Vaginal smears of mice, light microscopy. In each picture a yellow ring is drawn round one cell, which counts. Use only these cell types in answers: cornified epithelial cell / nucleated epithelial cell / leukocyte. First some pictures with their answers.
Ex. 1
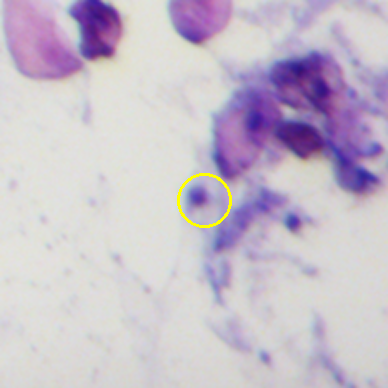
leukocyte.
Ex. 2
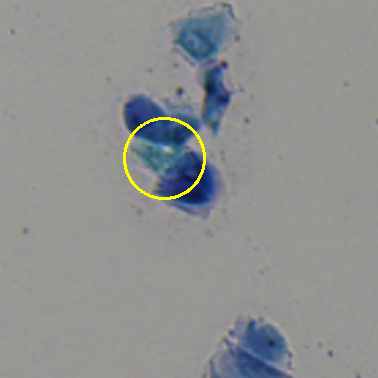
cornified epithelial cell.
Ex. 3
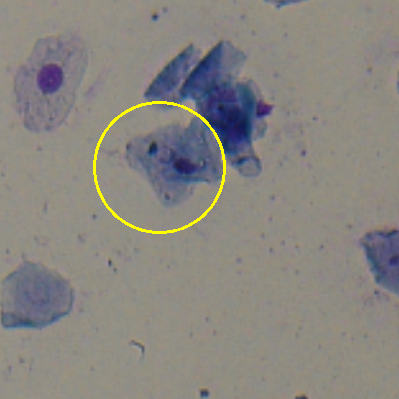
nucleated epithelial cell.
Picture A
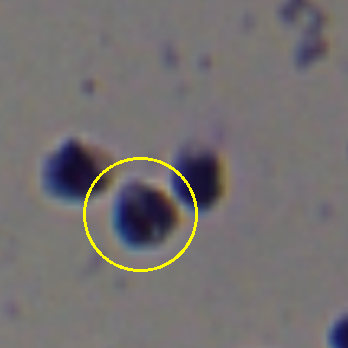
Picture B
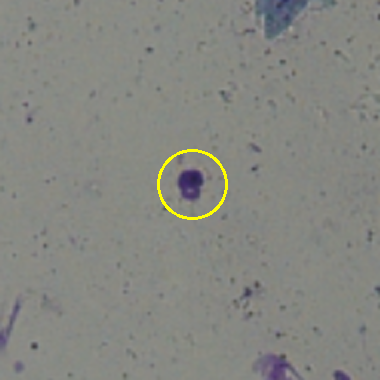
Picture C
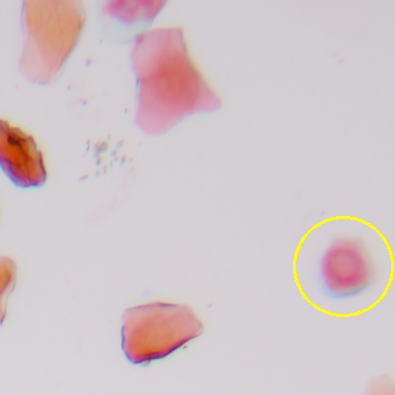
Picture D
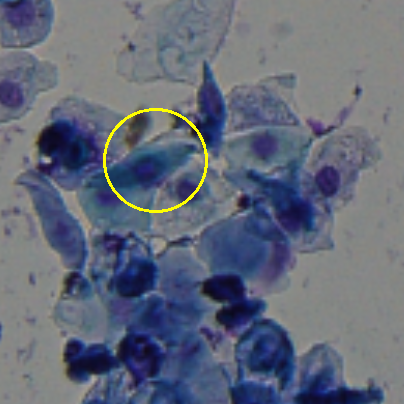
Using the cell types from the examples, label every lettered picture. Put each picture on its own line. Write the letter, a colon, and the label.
A: leukocyte.
B: leukocyte.
C: nucleated epithelial cell.
D: nucleated epithelial cell.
